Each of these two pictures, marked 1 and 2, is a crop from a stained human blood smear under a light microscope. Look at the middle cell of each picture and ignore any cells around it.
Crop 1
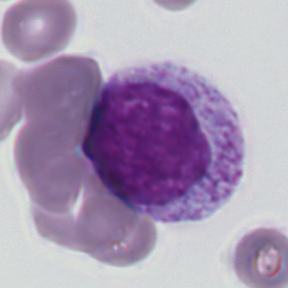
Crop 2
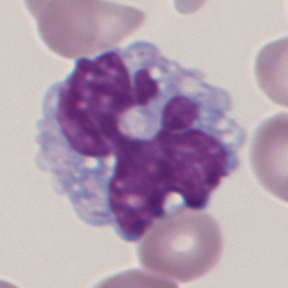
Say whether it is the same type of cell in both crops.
no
